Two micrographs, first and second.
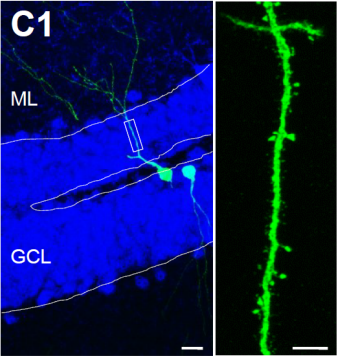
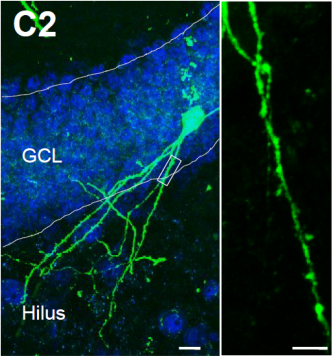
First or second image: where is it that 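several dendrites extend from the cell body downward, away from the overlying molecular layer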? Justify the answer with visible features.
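Second image: several green processes run from the cell body downward out of the nuclear layer into the region below. That points to this answer: the second image.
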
